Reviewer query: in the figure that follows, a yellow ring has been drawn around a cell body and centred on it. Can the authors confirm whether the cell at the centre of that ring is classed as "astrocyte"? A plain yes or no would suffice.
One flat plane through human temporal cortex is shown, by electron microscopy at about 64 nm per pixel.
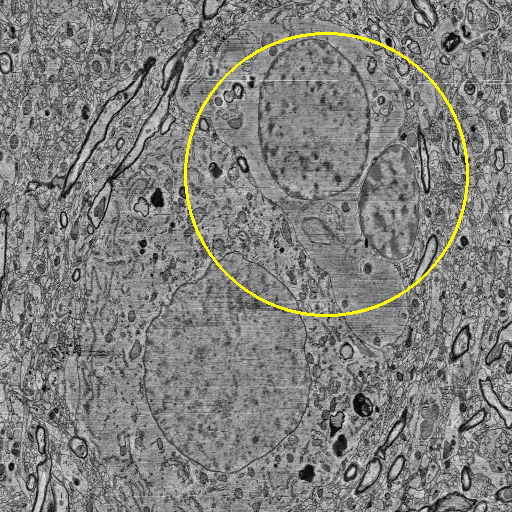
yes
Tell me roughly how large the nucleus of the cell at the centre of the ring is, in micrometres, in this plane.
Roughly 11 micrometres long and 7 micrometres wide; in this plane the nucleus is clearly longer than it is wide.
